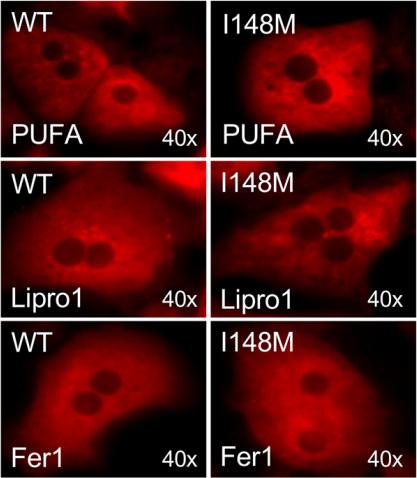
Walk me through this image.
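Cultured hepatocytes in six fields, imaged in red fluorescence. The cells are large, with broad cytoplasm and round to oval nuclei that stand out as dark, unstained holes. Several cells hold two nuclei lying side by side. The red signal is spread through the cytoplasm in a fine granular pattern and is brighter around the nuclei than towards the cell edges. Cell borders are only faintly seen where neighbouring cells meet or overlap. The intensity of the red signal differs between fields: some are bright and grainy, while others are dimmer and more even.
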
